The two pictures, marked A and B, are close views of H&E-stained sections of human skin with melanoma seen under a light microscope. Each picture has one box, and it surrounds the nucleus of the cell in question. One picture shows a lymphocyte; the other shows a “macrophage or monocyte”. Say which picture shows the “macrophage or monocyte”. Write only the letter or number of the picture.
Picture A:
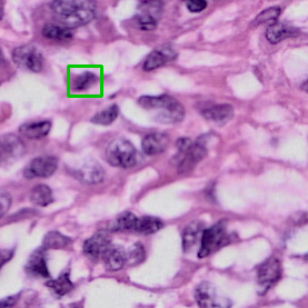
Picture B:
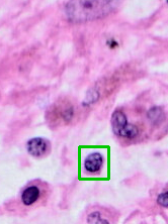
A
